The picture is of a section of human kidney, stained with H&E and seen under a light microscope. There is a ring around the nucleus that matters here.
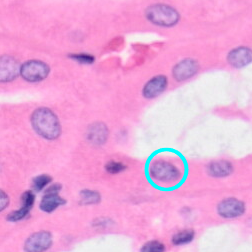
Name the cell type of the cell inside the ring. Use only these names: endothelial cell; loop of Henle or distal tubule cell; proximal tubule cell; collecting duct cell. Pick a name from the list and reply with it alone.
loop of Henle or distal tubule cell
